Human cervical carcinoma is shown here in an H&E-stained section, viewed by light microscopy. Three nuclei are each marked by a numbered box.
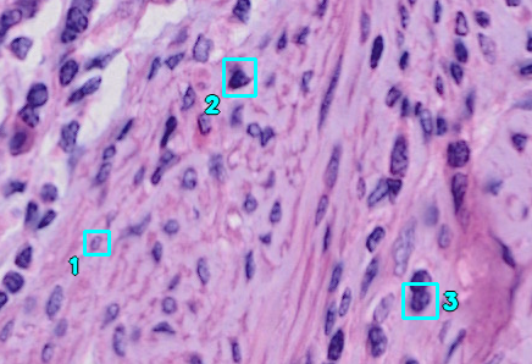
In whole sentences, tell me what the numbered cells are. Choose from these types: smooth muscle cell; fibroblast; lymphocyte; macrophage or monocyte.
Cell 1 is a smooth muscle cell, cell 2 is a lymphocyte and cell 3 is a lymphocyte.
